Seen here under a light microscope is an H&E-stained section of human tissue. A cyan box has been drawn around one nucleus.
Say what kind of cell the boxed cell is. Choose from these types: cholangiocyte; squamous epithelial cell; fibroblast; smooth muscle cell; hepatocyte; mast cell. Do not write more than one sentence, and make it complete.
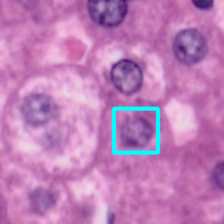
As to its cell type, the boxed cell is a hepatocyte.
